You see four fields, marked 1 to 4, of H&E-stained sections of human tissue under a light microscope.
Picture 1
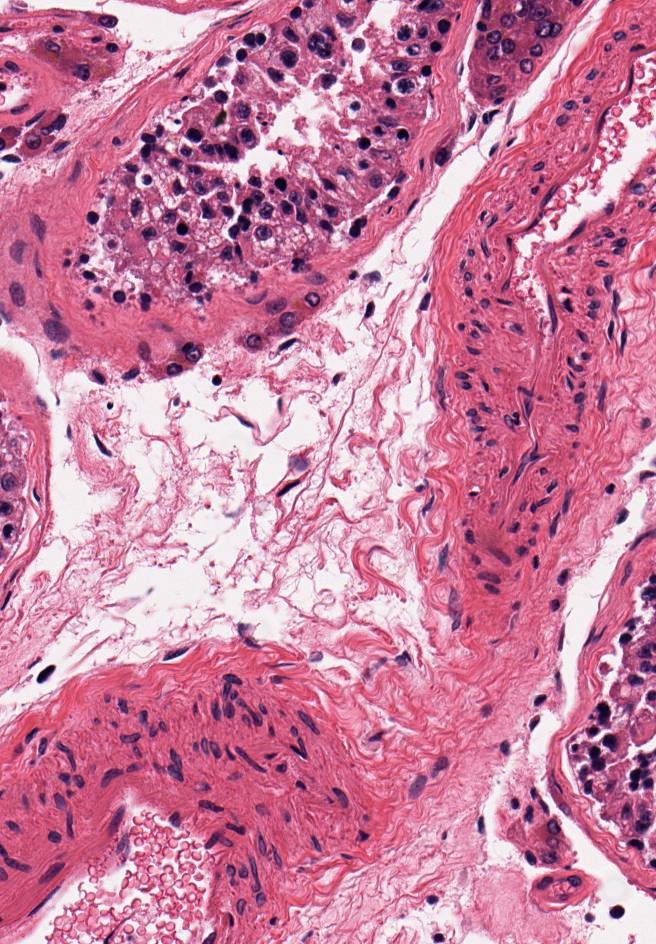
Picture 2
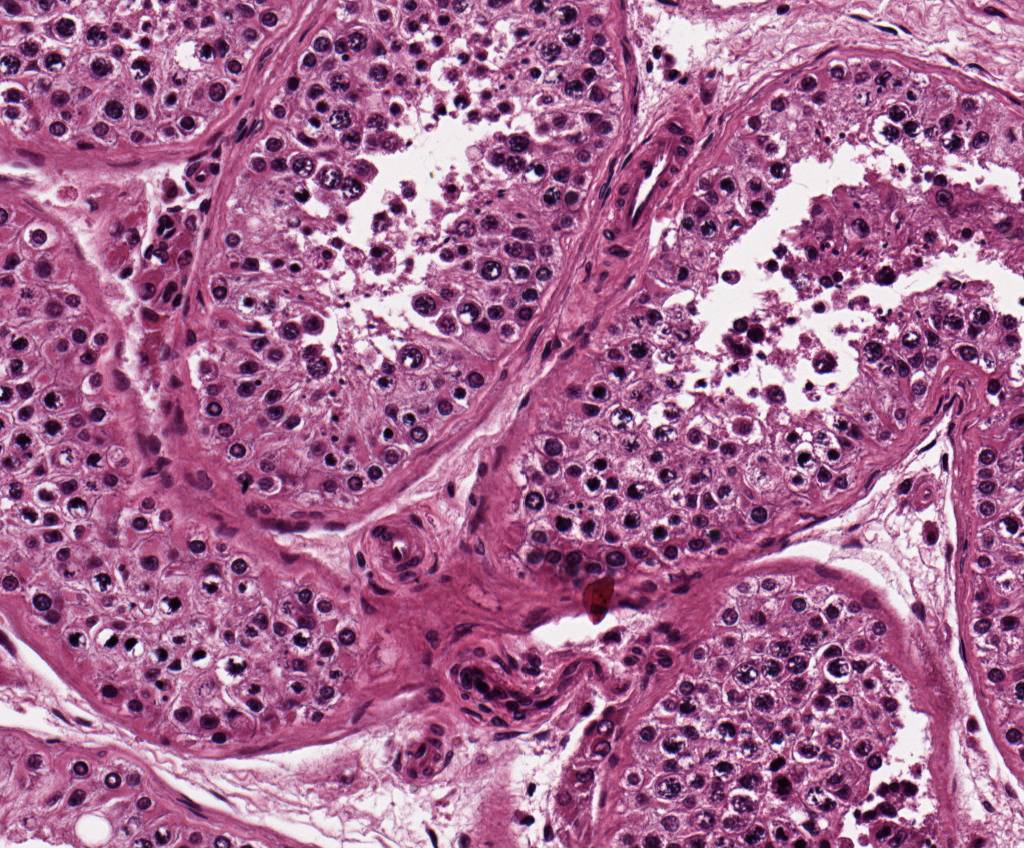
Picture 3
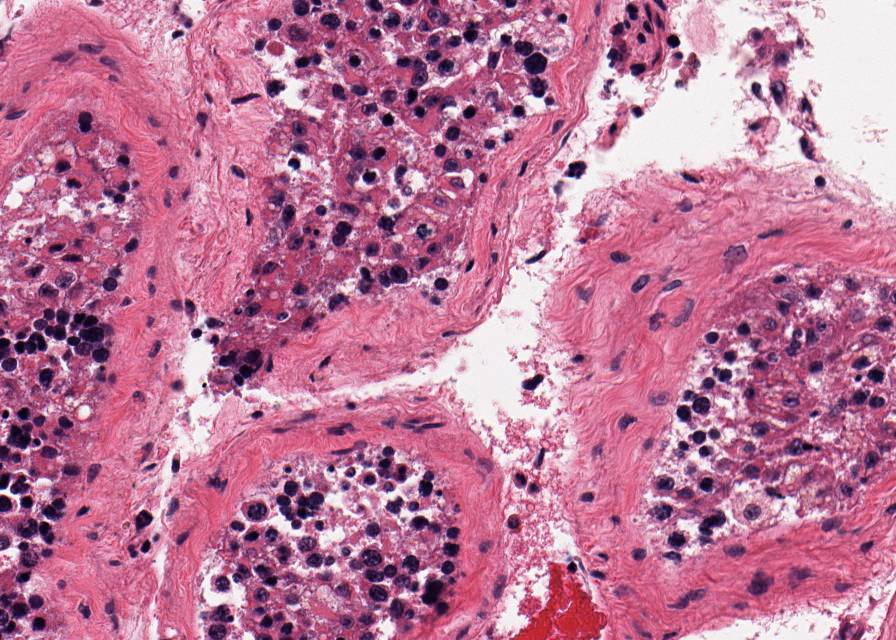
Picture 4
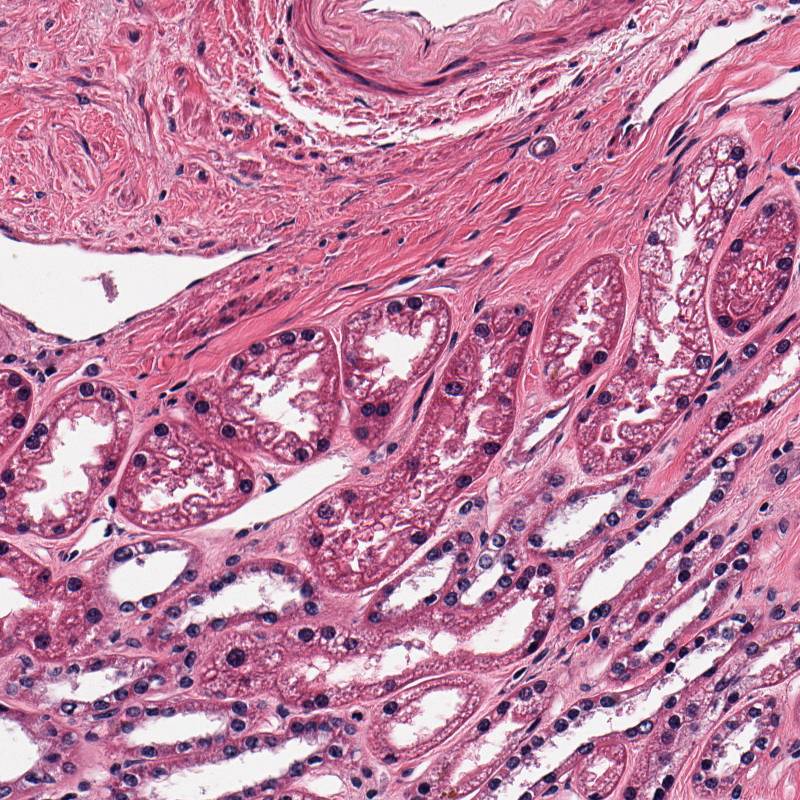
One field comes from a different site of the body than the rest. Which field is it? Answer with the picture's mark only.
4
